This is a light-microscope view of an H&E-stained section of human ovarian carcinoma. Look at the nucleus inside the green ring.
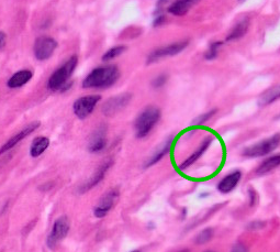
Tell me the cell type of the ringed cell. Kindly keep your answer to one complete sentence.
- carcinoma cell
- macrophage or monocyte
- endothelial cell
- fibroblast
Labelled by cell type, the ringed cell is a fibroblast.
